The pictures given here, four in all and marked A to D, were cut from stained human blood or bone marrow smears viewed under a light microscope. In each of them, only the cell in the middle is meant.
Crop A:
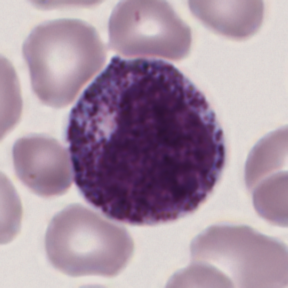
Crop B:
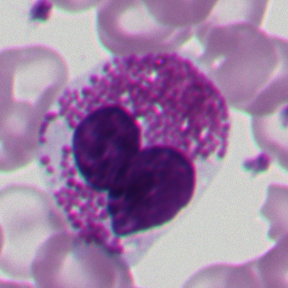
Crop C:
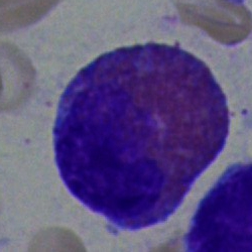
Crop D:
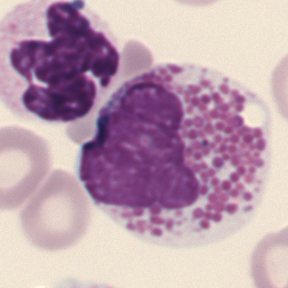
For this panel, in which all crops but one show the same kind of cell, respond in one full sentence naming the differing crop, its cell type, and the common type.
Crop A is the only crop with a promyelocyte, the others all showing eosinophils.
